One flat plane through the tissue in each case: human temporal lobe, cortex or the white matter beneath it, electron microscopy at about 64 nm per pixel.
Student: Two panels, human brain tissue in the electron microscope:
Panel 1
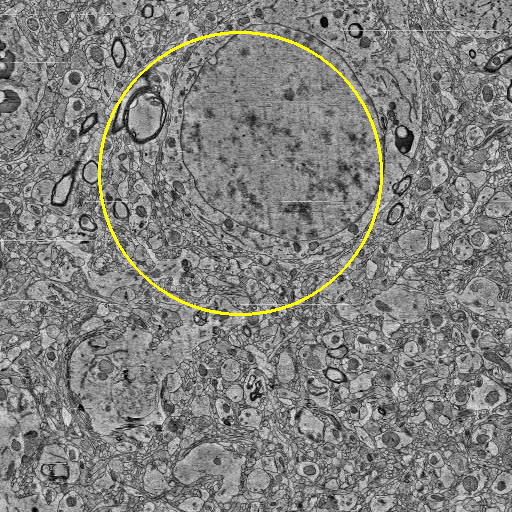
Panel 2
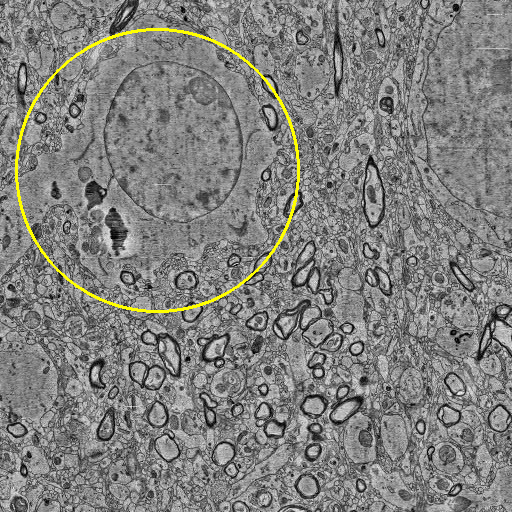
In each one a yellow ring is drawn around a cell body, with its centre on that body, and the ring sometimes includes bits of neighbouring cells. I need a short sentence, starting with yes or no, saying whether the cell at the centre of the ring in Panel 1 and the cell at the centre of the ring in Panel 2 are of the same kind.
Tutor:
No, they are two kinds of cell.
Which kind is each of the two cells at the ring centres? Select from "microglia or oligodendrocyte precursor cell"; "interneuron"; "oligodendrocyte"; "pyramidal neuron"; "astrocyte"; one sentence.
The cell at the centre of the ring is a pyramidal neuron in the first picture and an astrocyte in the second.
